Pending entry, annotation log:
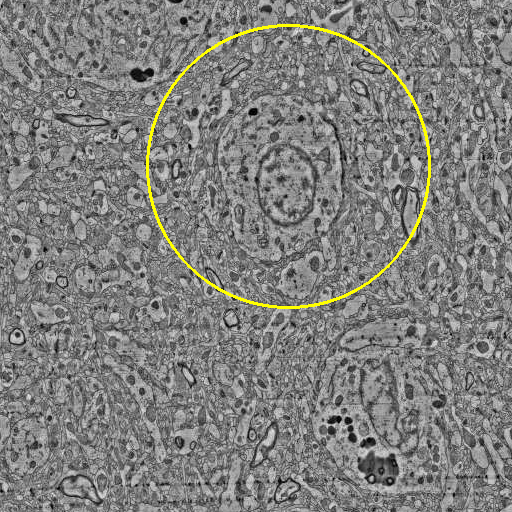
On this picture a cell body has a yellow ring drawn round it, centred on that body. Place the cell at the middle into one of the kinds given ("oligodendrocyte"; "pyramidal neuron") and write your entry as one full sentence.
The cell body at the middle of the yellow ring belongs to a pyramidal neuron.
